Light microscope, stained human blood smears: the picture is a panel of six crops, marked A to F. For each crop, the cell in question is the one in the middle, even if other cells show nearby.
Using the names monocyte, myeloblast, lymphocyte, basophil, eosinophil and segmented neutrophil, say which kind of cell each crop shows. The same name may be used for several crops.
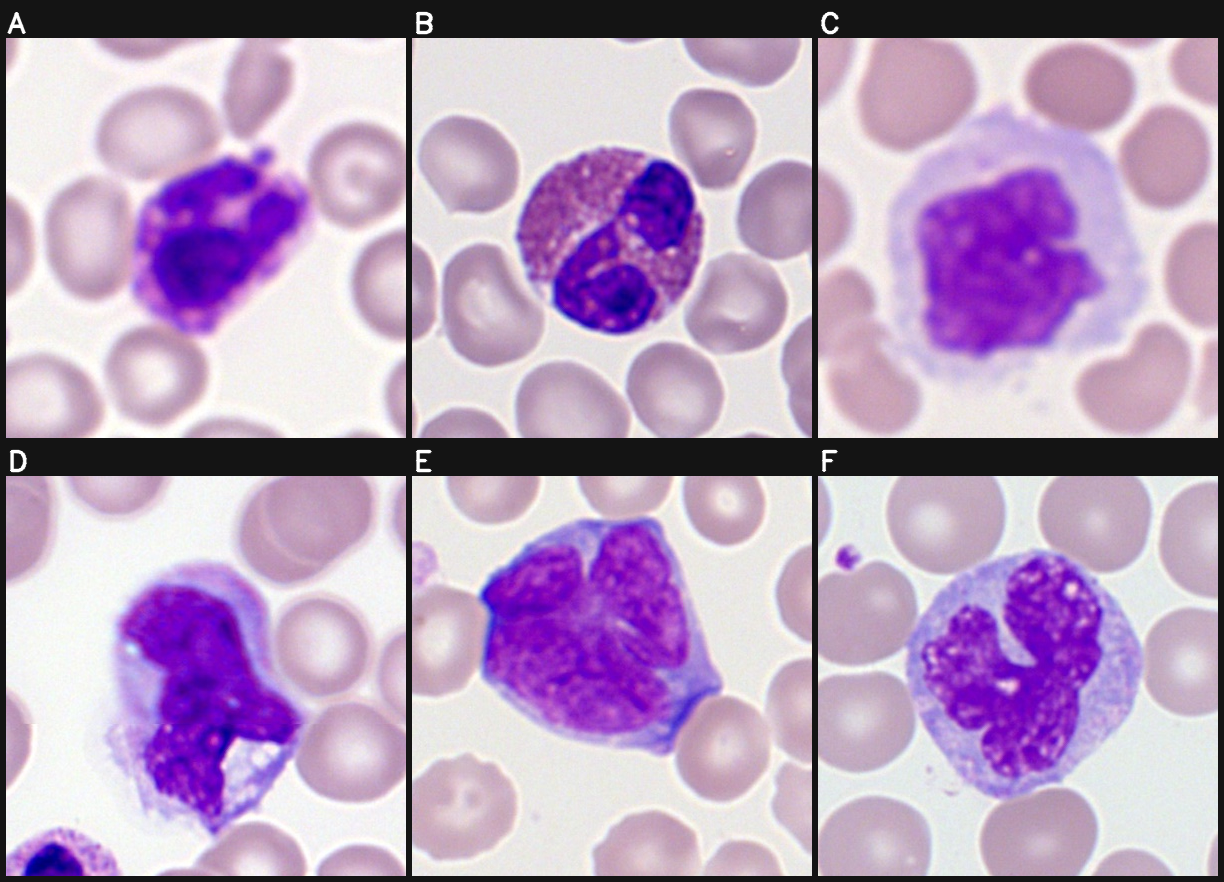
A: basophil
B: eosinophil
C: monocyte
D: monocyte
E: myeloblast
F: monocyte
